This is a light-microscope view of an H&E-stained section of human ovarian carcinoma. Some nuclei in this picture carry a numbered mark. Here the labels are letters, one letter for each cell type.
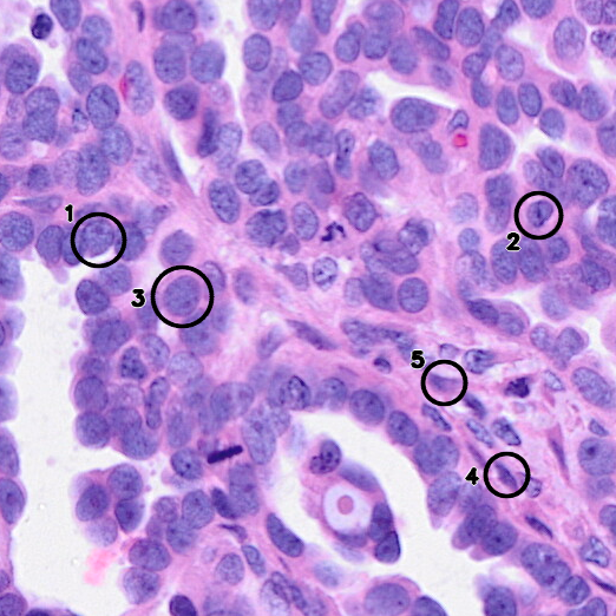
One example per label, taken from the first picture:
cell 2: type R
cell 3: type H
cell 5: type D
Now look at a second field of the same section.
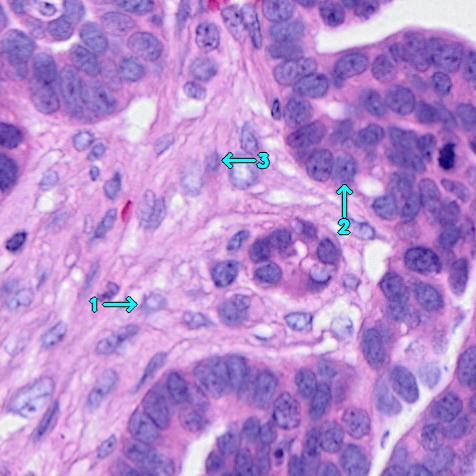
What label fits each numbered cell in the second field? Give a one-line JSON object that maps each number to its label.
{"1": "type D", "2": "type H", "3": "type D"}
